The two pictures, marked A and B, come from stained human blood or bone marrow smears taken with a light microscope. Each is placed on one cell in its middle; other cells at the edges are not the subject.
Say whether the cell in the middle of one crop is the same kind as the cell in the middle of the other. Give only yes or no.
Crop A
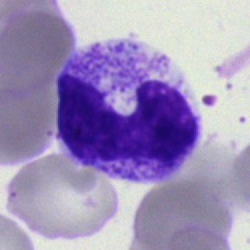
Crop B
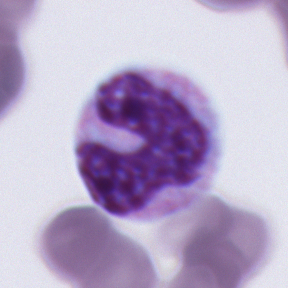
yes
